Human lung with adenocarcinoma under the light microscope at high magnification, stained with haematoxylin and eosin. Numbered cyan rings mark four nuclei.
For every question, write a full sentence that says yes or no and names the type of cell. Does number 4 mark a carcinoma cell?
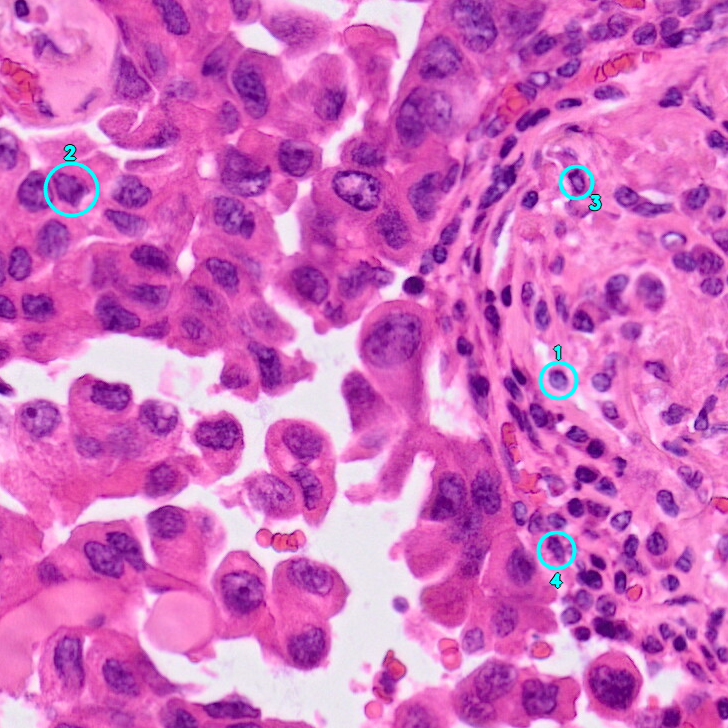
No, cell 4 is correctly identified as a lymphocyte and not as a carcinoma cell.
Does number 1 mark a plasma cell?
No, the cell denoted 1 is a lymphocyte rather than a plasma cell.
